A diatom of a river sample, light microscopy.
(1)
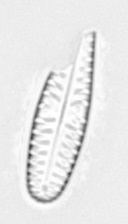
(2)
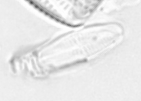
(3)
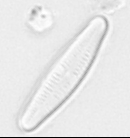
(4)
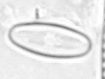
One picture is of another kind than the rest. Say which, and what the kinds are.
Picture 1 shows Gomphonella; the rest show Achnanthidium.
